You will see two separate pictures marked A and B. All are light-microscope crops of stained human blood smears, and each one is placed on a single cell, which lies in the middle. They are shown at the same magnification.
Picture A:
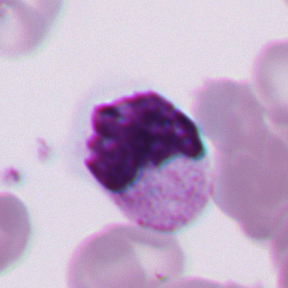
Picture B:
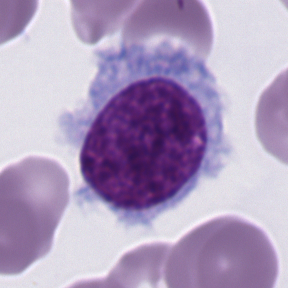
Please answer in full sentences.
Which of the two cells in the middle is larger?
Picture B holds the larger cell; it covers about 1.5 times the area of the cell in picture A.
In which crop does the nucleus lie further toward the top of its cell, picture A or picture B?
Seen within its cell, the nucleus in picture A lies further toward the top.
